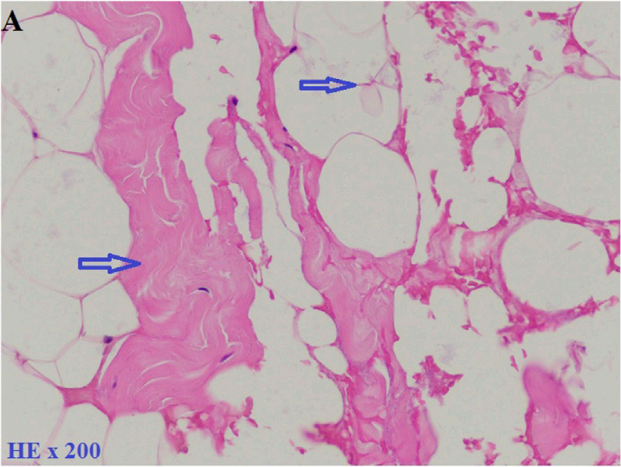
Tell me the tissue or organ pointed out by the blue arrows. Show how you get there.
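Connective and adipose tissue. Large empty round spaces bounded by thin membranes fill much of the field. Broad bands of pink wavy fibrous material run between the empty spaces. No muscle fibers are visible.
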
